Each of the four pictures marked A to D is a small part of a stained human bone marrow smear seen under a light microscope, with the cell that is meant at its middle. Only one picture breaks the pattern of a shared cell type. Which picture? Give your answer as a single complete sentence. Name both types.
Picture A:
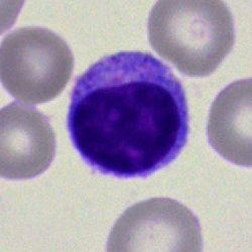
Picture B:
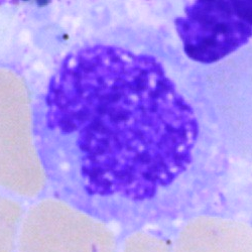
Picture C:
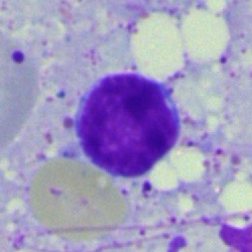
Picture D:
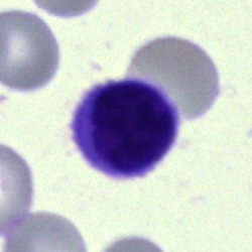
Picture B differs, because its cell is a monocyte and the rest are lymphocytes.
